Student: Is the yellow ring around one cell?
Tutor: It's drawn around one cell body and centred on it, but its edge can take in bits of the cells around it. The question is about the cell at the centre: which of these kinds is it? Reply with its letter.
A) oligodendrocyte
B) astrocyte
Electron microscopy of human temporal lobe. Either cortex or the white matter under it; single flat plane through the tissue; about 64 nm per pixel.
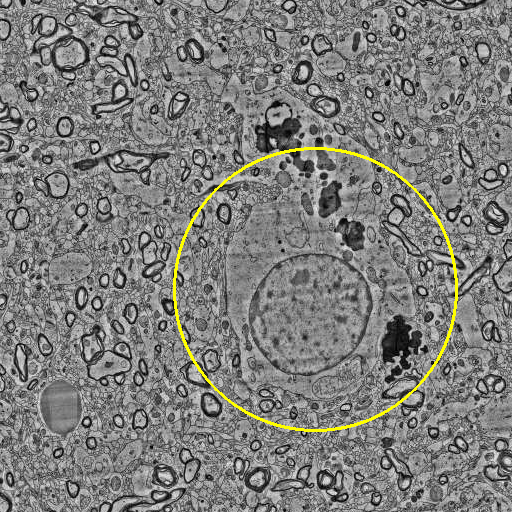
B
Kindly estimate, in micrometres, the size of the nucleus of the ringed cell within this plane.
In this plane, the nucleus of the cell at the centre of the ring is about 8 micrometres across.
